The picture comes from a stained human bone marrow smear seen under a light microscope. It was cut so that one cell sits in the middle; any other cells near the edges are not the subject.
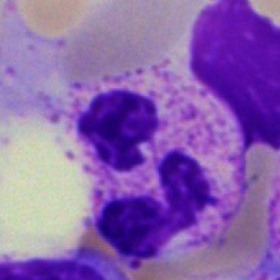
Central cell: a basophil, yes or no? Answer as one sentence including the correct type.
No, the central cell is not a basophil; it is a segmented neutrophil instead.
